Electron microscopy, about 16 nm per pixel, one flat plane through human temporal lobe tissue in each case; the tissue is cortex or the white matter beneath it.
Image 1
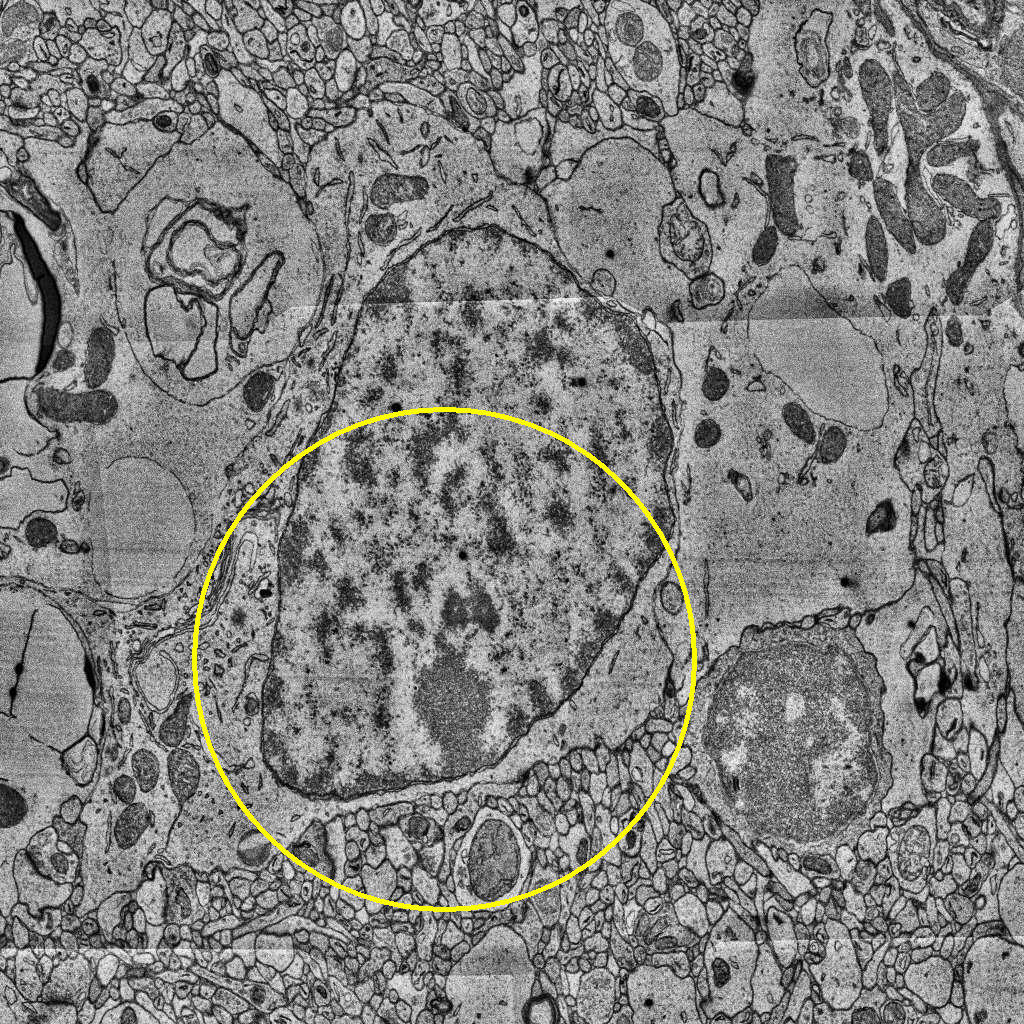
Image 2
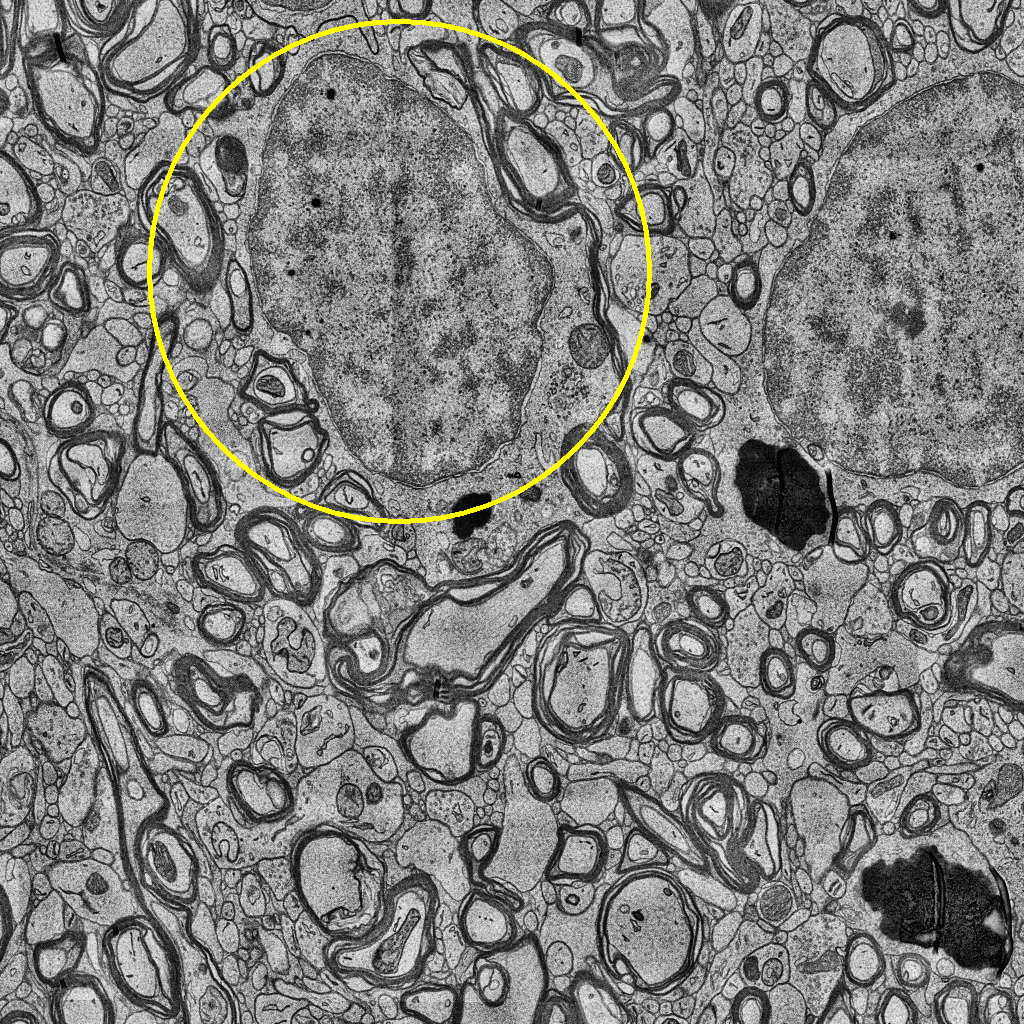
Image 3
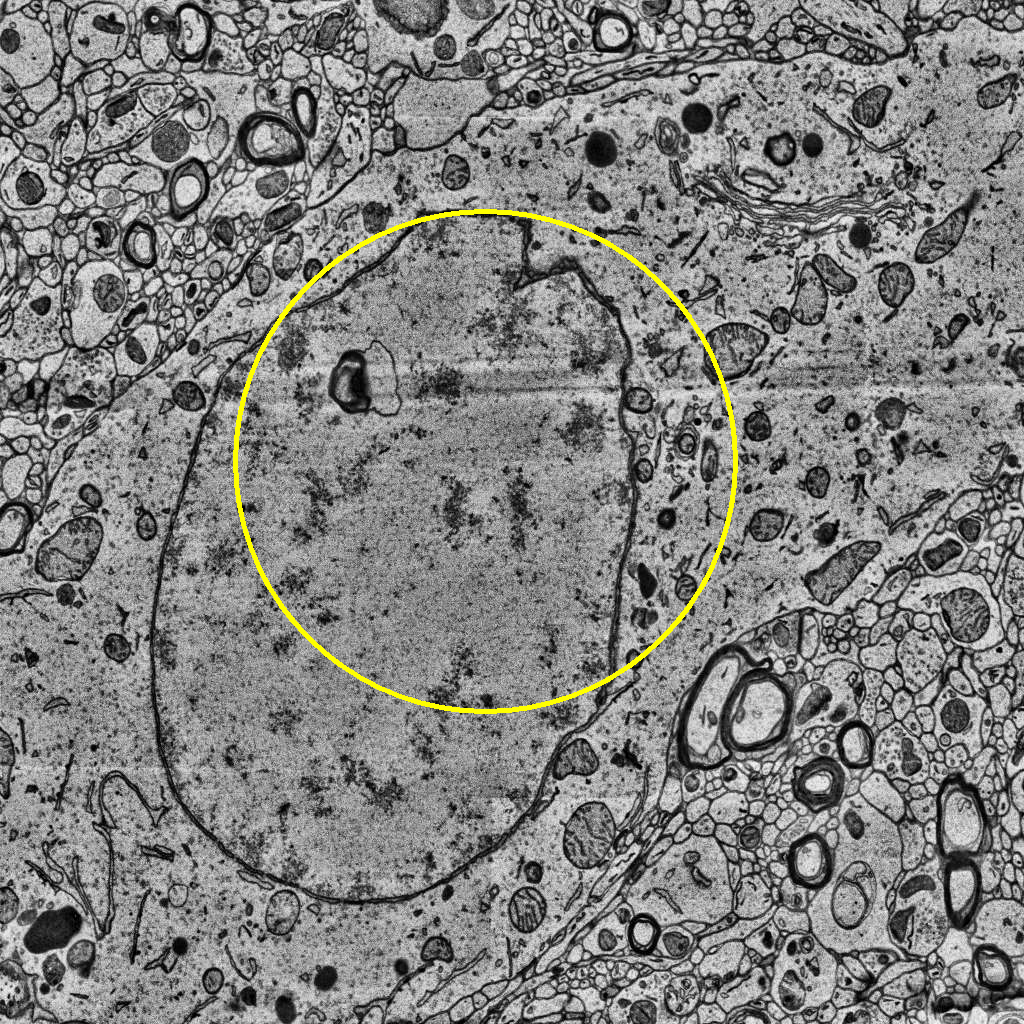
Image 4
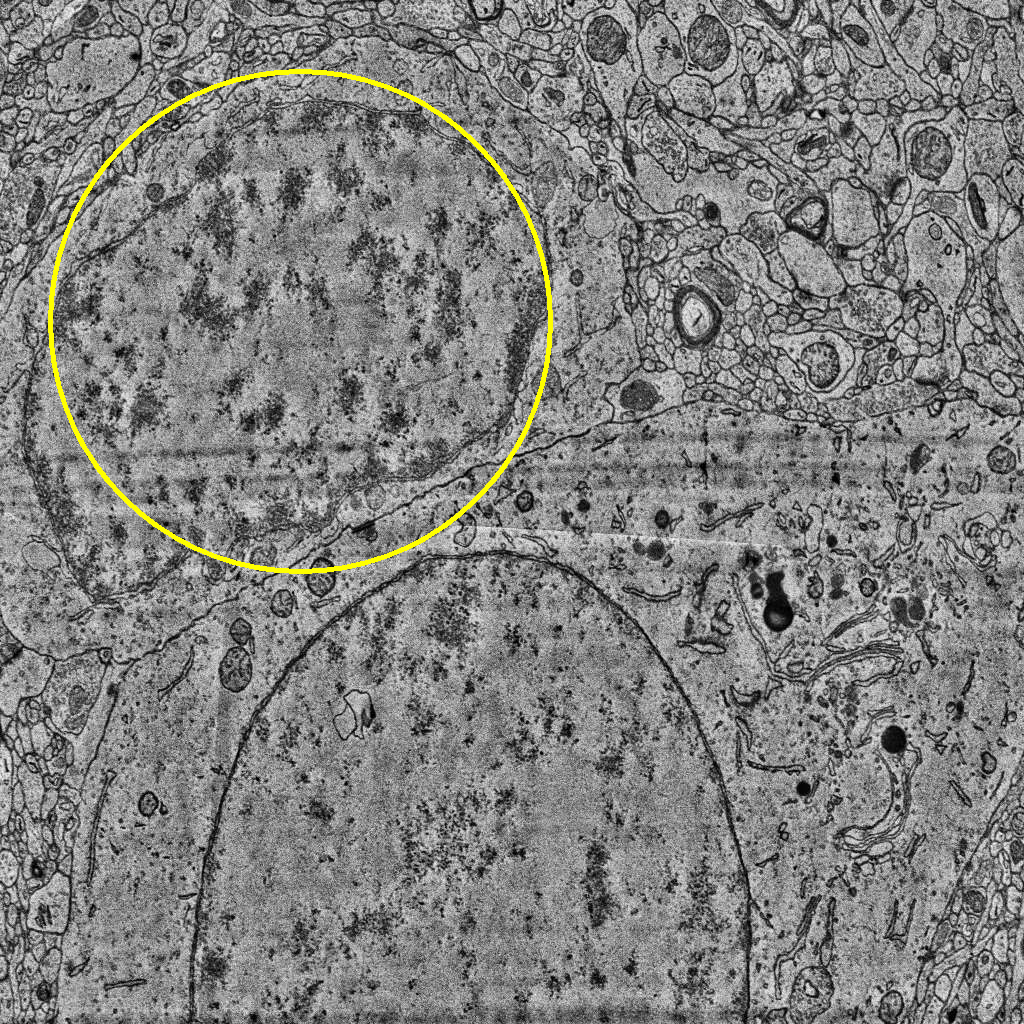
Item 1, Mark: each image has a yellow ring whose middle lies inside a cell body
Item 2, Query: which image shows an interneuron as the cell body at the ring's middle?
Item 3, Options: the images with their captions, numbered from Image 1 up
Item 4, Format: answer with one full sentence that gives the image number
My answer is image 4, where the cell lying under the ring's middle fits.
